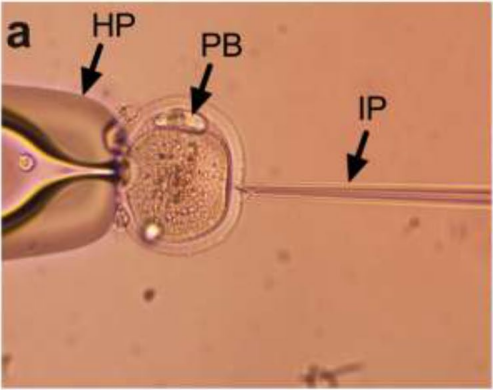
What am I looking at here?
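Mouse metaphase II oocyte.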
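The egg has a granular cytoplasm and is surrounded by a clear, thick coat, with a small polar body tucked in the space under the coat at the top. The needle tip is pressed against the coat but has not yet entered the cell.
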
